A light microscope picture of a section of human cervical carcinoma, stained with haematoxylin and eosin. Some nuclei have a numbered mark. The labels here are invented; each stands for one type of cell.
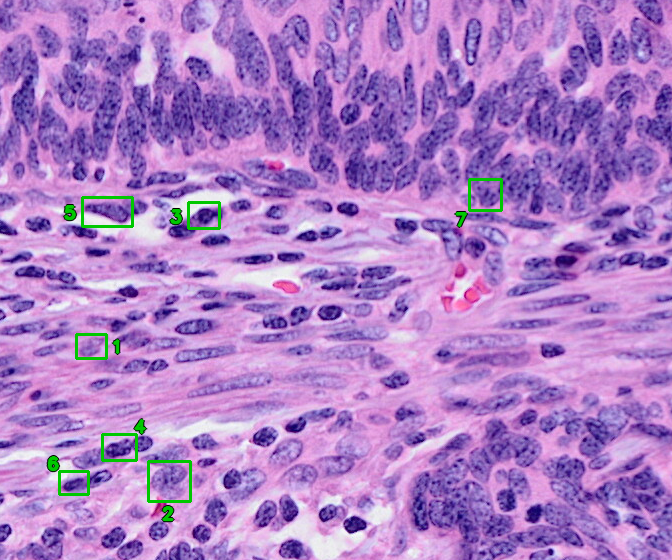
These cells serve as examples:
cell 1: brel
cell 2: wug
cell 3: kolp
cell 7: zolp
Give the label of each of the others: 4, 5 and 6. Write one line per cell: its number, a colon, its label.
4: kolp
5: wug
6: kolp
